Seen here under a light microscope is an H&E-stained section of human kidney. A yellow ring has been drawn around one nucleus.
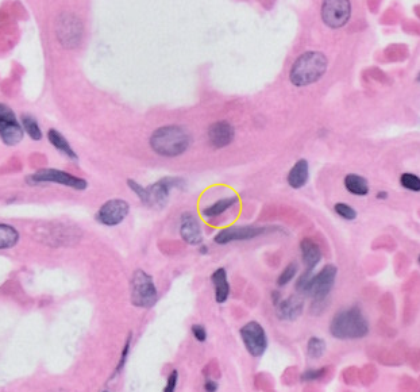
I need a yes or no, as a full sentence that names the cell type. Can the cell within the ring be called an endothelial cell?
Yes, the cell within the ring is an endothelial cell in this section.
